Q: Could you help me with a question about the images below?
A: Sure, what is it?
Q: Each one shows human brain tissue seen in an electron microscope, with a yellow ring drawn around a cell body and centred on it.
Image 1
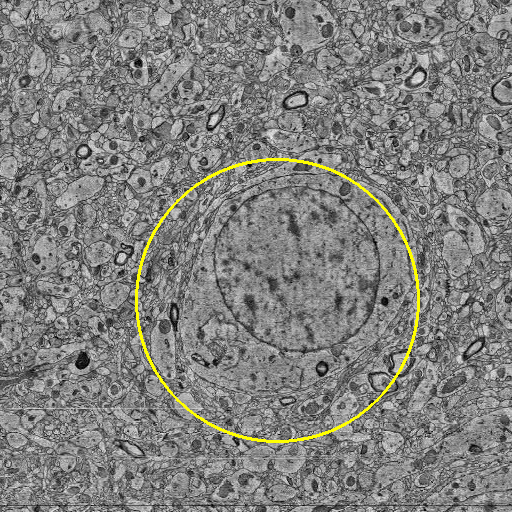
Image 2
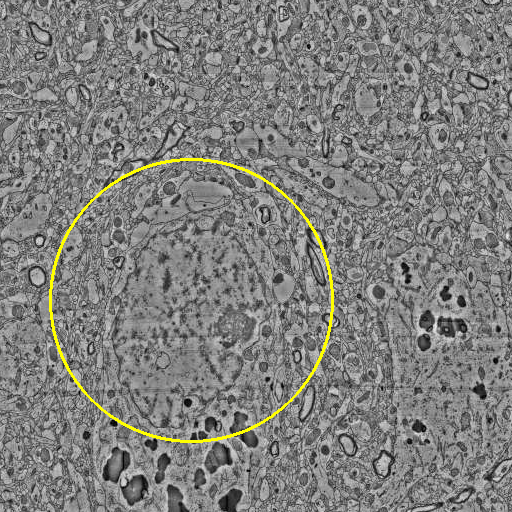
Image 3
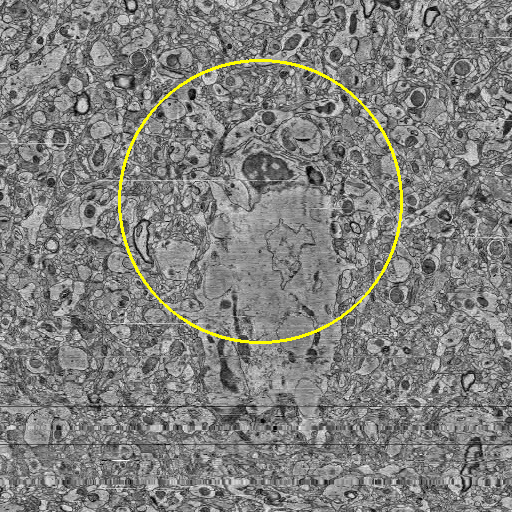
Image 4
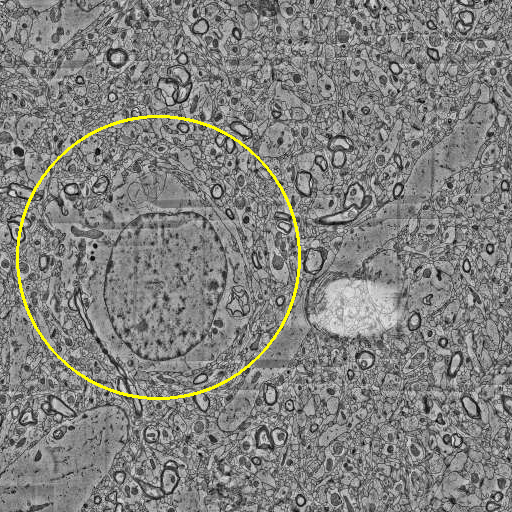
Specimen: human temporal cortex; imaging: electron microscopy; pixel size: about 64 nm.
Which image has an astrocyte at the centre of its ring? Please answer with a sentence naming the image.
Image 4 has it at the centre of its ring.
